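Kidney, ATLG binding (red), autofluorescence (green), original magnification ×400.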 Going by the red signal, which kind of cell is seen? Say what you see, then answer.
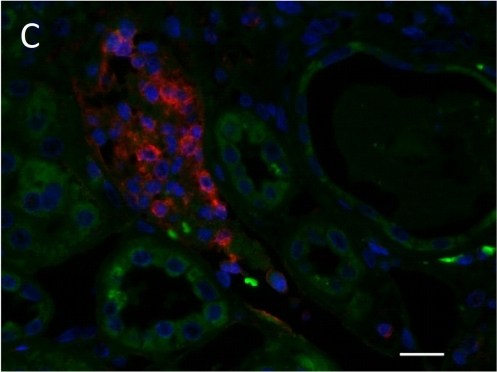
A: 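A cluster of small round cells with red rims lies between tubules. Each red-rimmed cell has a single blue nucleus.
Answer: leukocytes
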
